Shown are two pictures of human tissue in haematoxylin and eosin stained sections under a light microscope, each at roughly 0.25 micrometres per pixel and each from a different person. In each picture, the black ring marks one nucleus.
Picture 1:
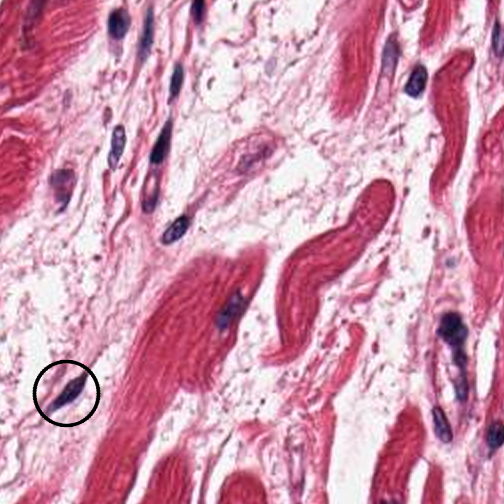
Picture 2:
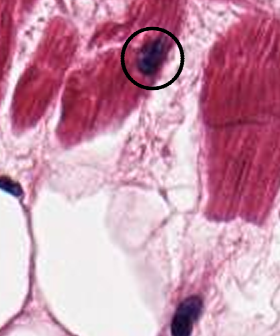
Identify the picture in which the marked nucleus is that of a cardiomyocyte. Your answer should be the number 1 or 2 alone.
2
